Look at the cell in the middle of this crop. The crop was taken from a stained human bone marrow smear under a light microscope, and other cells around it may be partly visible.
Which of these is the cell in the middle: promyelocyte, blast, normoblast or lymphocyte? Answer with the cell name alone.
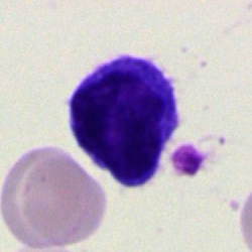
lymphocyte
